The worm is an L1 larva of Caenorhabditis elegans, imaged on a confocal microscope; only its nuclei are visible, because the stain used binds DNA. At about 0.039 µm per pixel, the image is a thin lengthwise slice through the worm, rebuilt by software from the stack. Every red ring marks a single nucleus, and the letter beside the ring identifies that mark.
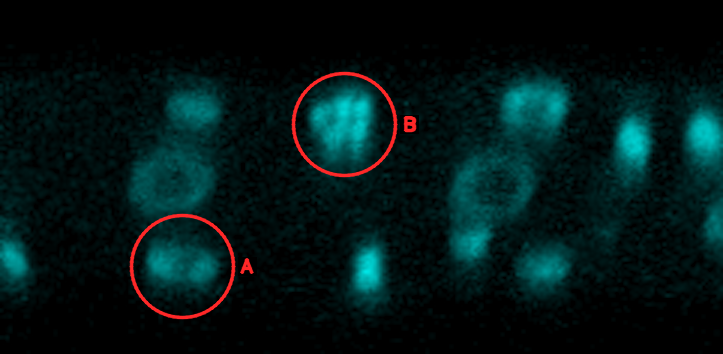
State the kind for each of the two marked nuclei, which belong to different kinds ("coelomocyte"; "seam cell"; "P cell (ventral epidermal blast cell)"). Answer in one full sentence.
Nucleus A comes from a P cell (ventral epidermal blast cell) and nucleus B from a seam cell.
